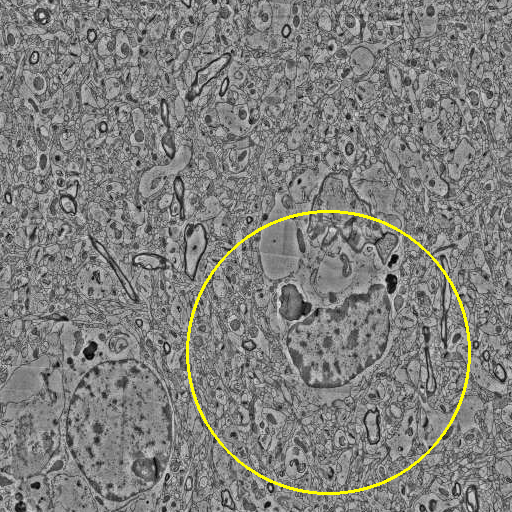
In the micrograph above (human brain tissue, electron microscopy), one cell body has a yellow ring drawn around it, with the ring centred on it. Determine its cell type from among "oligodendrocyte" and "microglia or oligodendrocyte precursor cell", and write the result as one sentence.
The cell whose body is ringed is a microglial cell or oligodendrocyte precursor cell.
